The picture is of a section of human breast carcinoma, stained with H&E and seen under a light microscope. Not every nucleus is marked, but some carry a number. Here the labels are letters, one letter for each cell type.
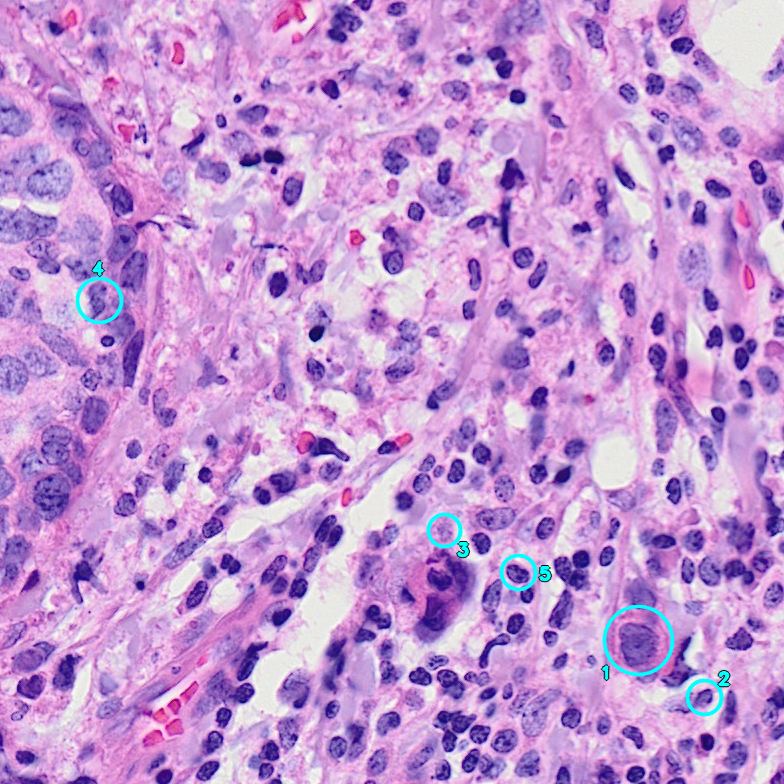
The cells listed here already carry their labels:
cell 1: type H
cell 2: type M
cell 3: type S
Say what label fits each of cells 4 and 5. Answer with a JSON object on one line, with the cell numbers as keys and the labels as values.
{"4": "type H", "5": "type M"}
